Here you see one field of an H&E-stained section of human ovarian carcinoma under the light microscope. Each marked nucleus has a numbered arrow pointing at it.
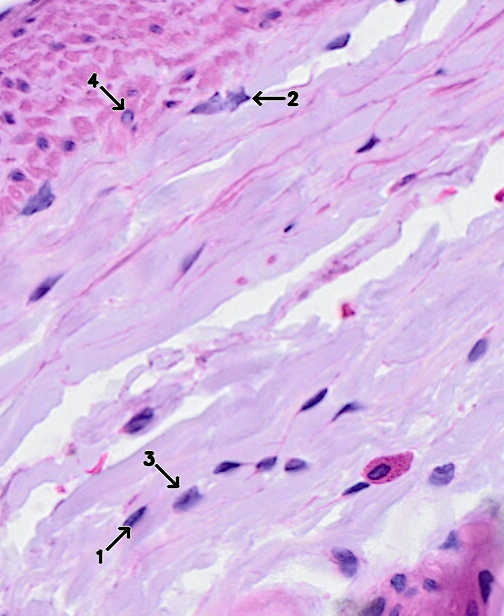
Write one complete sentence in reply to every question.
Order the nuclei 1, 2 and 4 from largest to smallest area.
Going from the biggest nucleus down to the smallest gives 2, 1, 4.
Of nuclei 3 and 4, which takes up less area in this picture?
Nucleus 4 is the smaller one; nucleus 3 covers about 3 times its area.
